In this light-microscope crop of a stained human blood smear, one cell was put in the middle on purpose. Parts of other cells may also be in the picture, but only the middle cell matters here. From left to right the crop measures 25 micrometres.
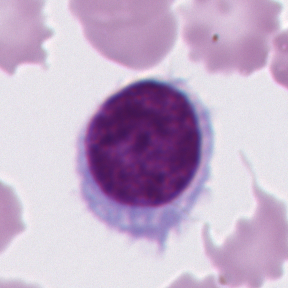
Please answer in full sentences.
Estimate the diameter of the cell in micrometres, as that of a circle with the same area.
About 13 micrometres: that is the cell's diameter.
